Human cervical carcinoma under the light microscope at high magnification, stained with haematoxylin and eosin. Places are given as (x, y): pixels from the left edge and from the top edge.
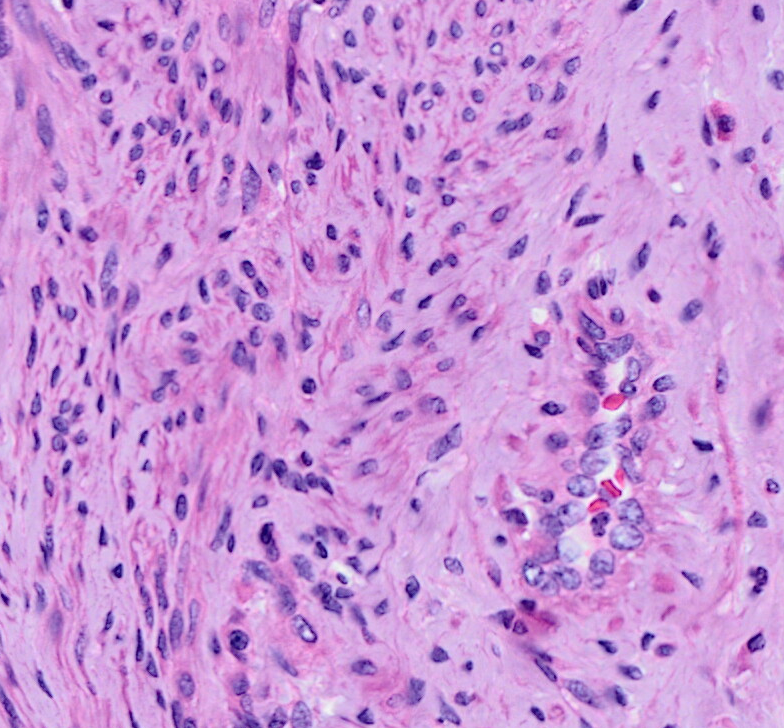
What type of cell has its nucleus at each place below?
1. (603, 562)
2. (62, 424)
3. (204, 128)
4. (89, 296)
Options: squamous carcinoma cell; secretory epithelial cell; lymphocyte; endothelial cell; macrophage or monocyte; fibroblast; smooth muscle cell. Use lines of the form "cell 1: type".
cell 1: endothelial cell
cell 2: smooth muscle cell
cell 3: smooth muscle cell
cell 4: smooth muscle cell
